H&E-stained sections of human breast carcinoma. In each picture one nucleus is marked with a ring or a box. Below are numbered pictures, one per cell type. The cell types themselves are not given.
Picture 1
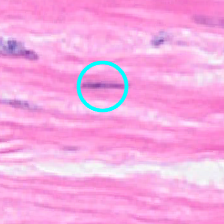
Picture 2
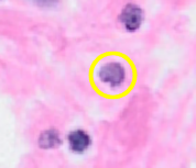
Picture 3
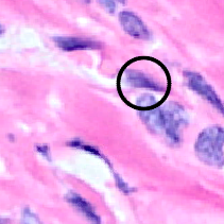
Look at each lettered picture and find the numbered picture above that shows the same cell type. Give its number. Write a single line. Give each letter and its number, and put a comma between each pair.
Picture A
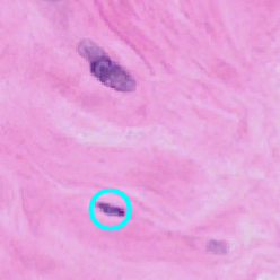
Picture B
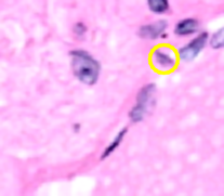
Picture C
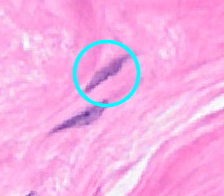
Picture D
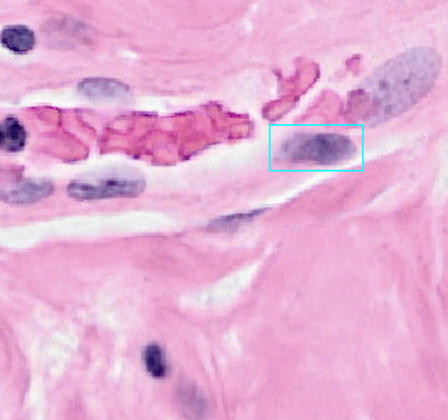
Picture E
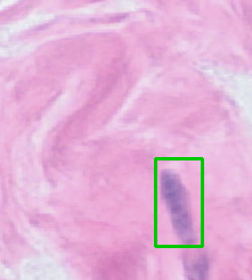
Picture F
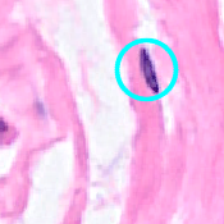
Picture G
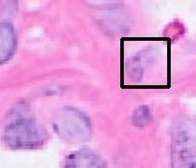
A 1, B 3, C 1, D 3, E 1, F 1, G 3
